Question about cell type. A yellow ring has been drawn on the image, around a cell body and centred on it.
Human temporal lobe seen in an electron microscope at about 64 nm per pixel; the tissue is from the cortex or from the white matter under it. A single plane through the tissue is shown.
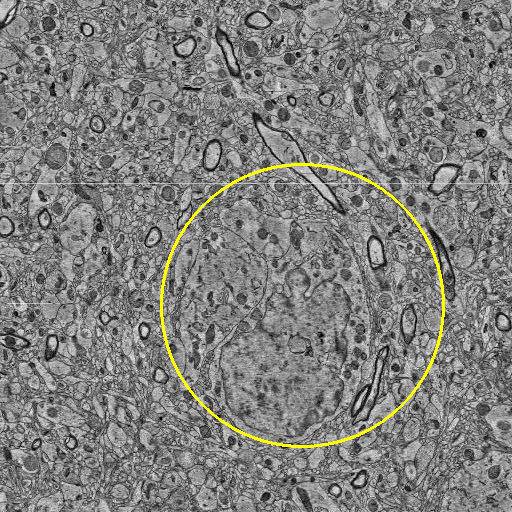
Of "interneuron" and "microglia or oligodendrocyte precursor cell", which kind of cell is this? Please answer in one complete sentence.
At the centre of the ring lies an interneuron.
